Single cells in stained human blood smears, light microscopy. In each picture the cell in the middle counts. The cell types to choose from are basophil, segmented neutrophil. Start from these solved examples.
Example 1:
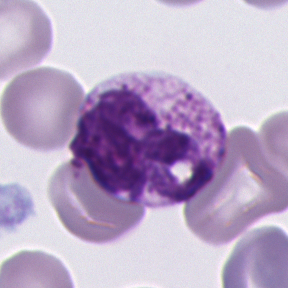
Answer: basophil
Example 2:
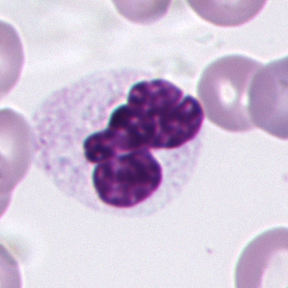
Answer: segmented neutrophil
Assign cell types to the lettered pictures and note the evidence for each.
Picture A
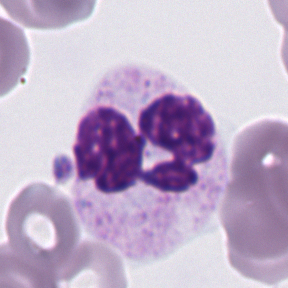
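Label: segmented neutrophil. The cytoplasm is plentiful and pale pinkish-lilac.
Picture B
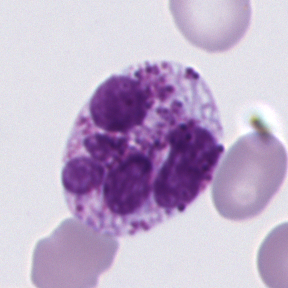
Label: basophil. Coarse dark purple granules are scattered through the cytoplasm.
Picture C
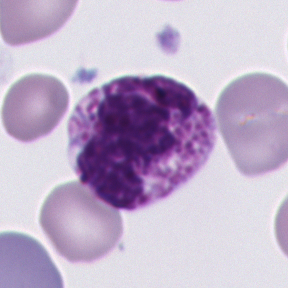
Label: basophil. Coarse dark purple granules lie over the nucleus and blur its border.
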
